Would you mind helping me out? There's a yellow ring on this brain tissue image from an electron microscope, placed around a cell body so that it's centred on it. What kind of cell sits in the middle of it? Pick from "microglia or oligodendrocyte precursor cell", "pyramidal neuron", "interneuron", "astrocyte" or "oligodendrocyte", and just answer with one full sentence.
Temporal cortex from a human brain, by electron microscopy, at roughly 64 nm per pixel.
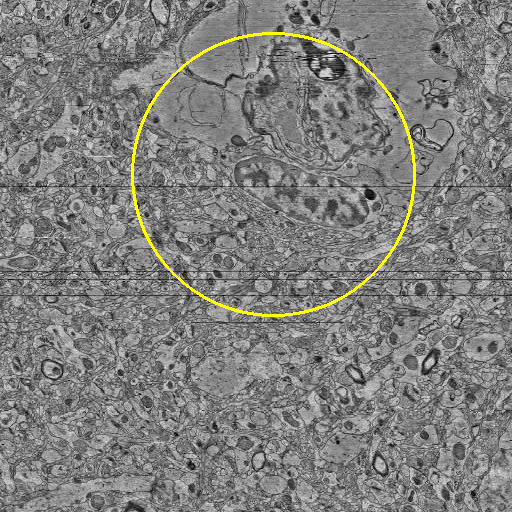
What sits in the middle of that yellow ring is a microglial cell or oligodendrocyte precursor cell, from your choices.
